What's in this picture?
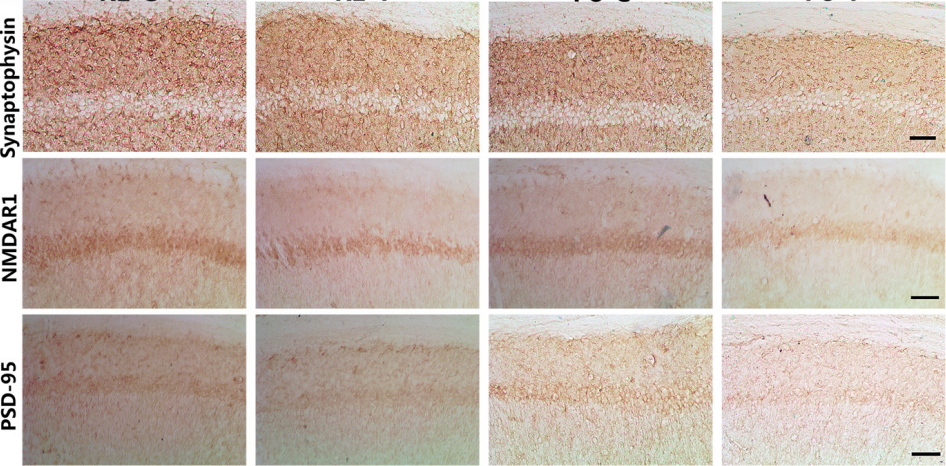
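These are sections of hippocampus showing a compact, curved layer of closely packed, rounded neuronal cell bodies with pale nuclei. Neuropil with scattered cells lies above and below this layer. A brown reaction product is spread through the neuropil and around the packed cell bodies, and in the top row it forms a fine granular network. The intensity of the brown staining differs between the images of each row, and some of them look paler.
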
